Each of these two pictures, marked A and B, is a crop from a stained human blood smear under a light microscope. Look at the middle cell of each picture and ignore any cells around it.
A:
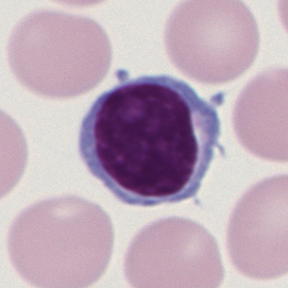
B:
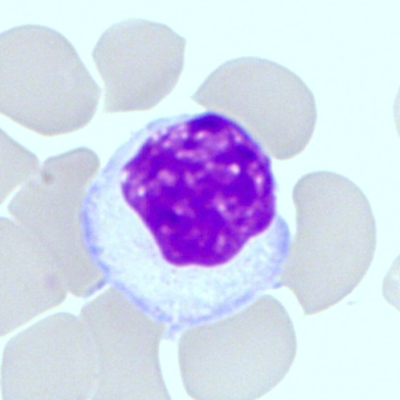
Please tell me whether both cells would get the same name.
yes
